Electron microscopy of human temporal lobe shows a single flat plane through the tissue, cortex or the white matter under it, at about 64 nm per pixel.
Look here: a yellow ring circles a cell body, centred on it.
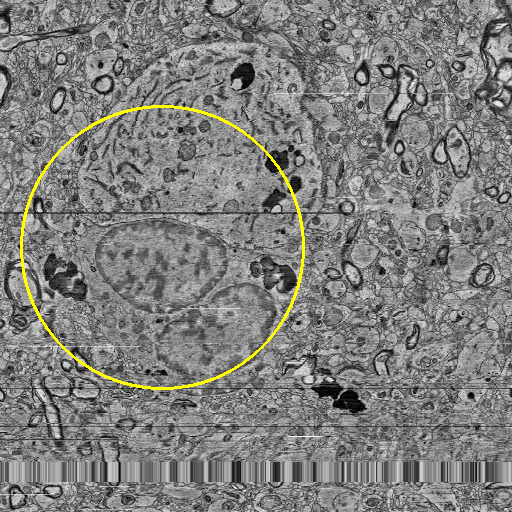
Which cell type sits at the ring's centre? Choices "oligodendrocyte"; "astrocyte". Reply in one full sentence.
The cell at the centre of the yellow ring in the picture is an oligodendrocyte.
